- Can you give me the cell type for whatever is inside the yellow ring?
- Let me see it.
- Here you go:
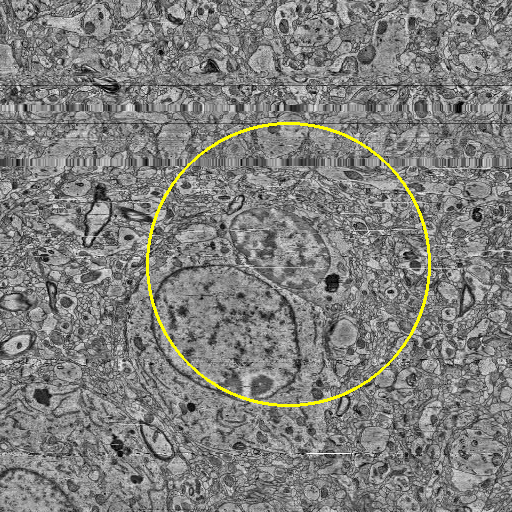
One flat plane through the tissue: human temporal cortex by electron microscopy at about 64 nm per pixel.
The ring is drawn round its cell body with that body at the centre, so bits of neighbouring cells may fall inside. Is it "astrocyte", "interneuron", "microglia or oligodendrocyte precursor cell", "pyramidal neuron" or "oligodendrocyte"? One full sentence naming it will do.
The cell body in the middle of the ring in this picture belongs to an oligodendrocyte.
